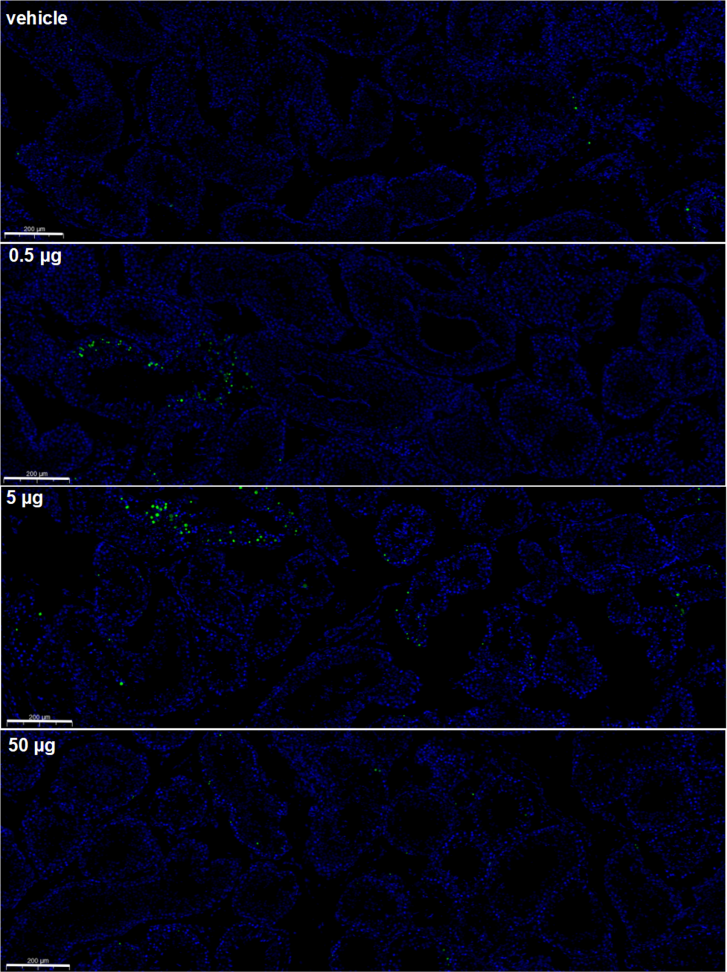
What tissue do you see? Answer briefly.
Seminiferous tubules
